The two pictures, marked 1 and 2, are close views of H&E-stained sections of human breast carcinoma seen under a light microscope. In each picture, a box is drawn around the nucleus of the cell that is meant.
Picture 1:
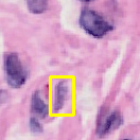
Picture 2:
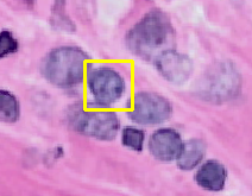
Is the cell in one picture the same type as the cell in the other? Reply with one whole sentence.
No; the cell in picture 1 is an endothelial cell, while the one in picture 2 is a carcinoma cell.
